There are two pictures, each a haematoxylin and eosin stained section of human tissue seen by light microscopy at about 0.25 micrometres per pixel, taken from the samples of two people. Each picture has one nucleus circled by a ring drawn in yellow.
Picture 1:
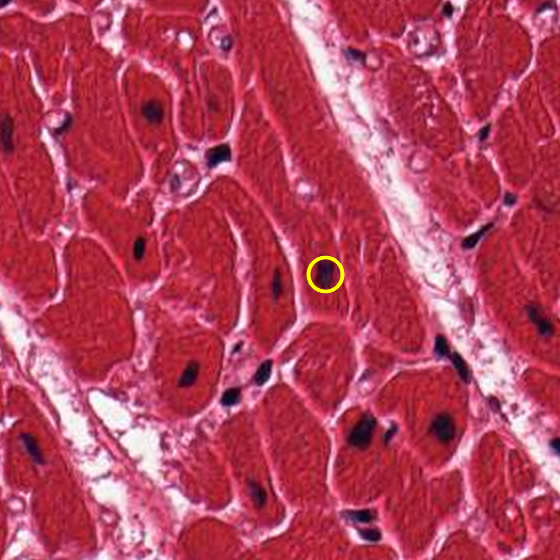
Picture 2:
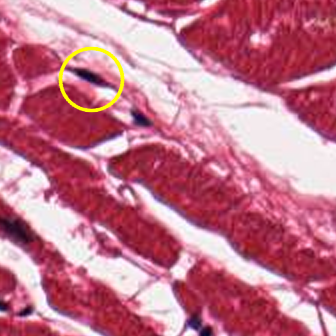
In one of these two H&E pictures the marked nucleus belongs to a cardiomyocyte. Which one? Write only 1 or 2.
1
